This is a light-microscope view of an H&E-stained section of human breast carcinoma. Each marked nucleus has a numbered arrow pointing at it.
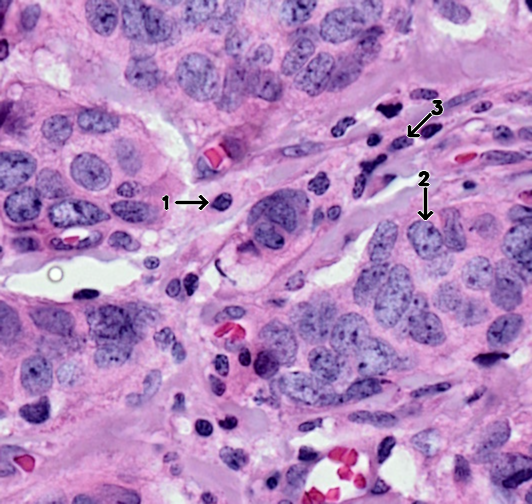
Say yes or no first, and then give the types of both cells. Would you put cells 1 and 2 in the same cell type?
No, cell 1 is a mast cell, and cell 2 is, by contrast, a carcinoma cell.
